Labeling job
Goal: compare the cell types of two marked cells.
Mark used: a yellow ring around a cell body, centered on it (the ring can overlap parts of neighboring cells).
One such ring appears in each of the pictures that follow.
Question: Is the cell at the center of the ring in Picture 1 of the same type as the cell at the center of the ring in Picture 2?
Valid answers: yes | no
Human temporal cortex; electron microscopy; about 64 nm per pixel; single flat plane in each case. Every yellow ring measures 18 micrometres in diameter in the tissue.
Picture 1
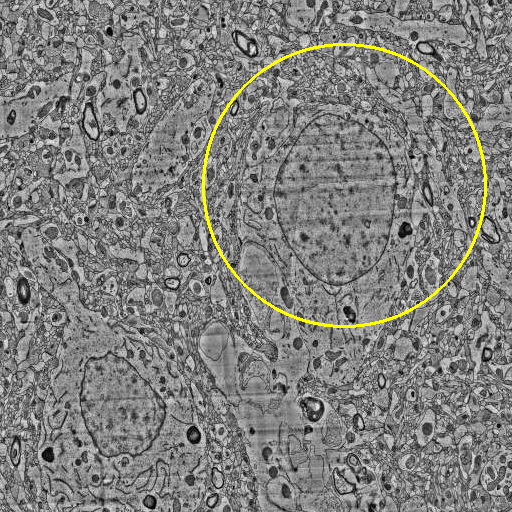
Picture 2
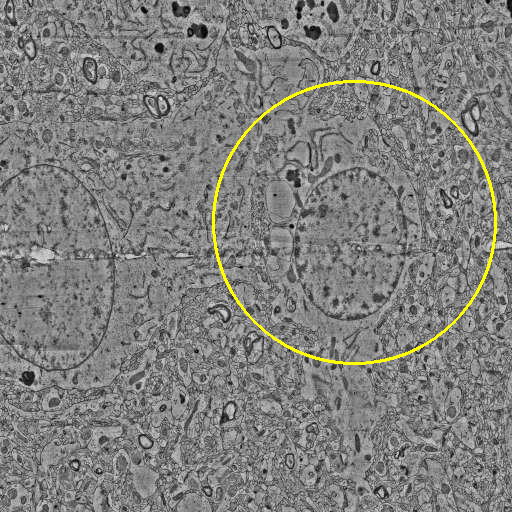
no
